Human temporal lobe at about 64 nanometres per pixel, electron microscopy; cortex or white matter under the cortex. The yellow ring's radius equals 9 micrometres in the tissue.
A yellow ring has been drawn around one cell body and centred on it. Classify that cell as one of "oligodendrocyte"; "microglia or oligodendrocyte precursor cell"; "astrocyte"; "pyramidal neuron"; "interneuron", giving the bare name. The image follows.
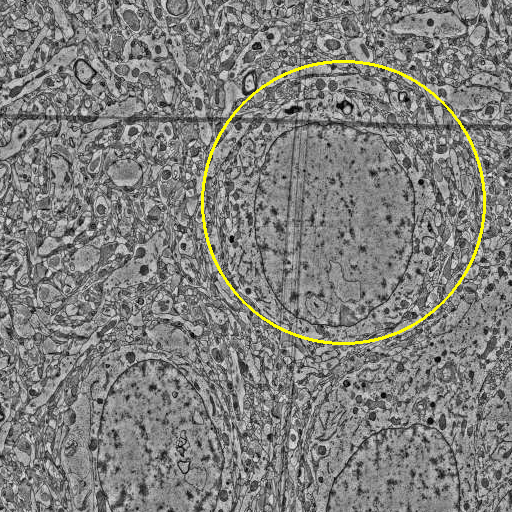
pyramidal neuron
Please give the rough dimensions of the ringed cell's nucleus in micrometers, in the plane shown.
Roughly 12 micrometres across for the nucleus, in this plane.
